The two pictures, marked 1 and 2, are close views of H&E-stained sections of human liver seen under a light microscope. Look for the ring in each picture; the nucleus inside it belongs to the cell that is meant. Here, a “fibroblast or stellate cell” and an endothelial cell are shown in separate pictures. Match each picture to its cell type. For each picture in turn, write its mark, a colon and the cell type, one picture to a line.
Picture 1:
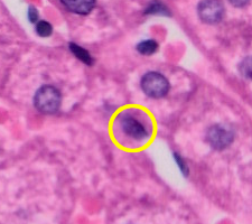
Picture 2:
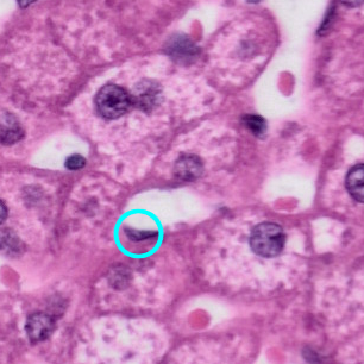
1: fibroblast or stellate cell
2: endothelial cell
